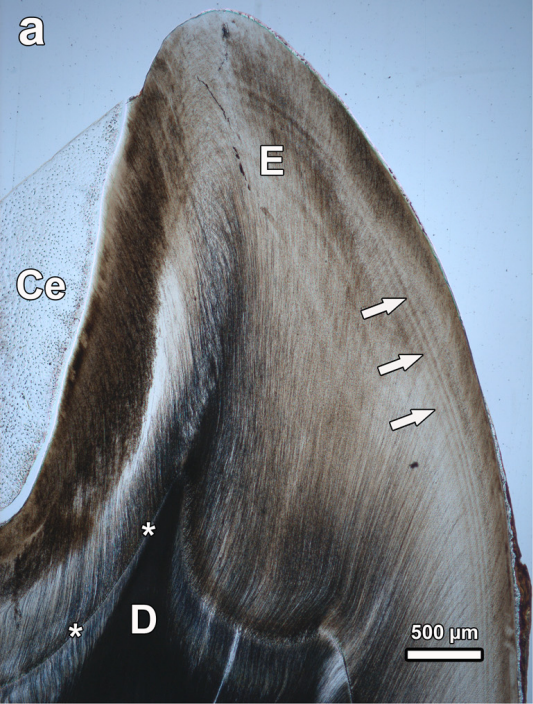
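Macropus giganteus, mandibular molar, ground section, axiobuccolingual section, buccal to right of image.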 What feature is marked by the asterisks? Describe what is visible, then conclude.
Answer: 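Enamel-dentine junction. The asterisks lie on a curved boundary between the outer translucent crown layer and the darker inner tissue.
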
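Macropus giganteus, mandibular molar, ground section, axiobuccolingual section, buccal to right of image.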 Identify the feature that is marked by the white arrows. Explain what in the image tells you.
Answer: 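Incremental lines. Faint parallel bands run through the enamel roughly parallel to the outer crown surface. The arrows point at these bands in the outer enamel.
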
